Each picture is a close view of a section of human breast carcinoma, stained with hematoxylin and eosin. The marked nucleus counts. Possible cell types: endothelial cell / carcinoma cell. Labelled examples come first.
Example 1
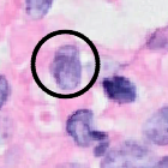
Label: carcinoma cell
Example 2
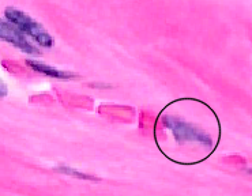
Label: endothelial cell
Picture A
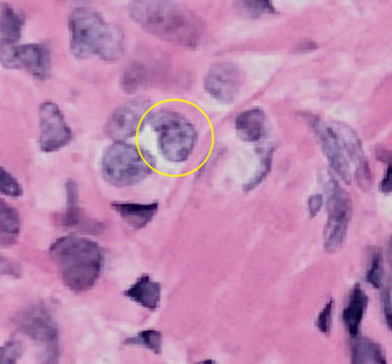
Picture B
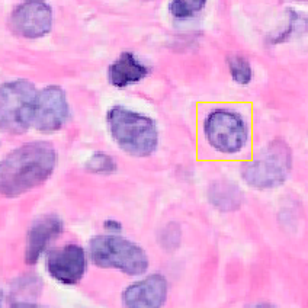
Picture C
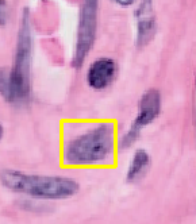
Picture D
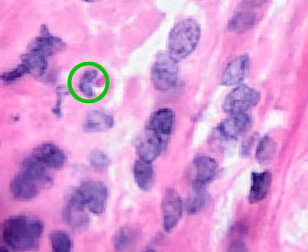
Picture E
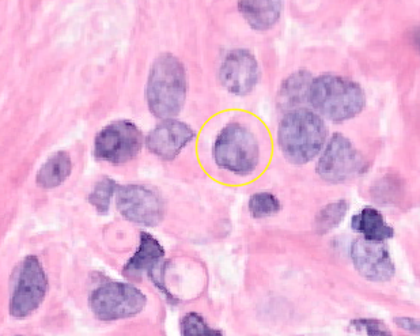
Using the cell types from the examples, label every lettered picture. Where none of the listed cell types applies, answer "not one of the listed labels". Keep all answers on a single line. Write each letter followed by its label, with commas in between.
A carcinoma cell, B carcinoma cell, C endothelial cell, D endothelial cell, E carcinoma cell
